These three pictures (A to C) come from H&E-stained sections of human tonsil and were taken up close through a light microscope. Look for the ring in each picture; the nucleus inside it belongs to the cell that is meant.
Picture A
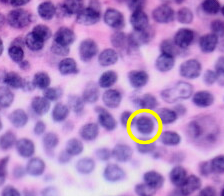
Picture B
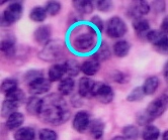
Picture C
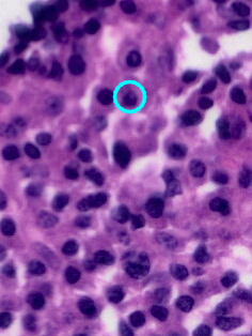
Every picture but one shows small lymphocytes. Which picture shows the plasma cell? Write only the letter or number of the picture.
C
